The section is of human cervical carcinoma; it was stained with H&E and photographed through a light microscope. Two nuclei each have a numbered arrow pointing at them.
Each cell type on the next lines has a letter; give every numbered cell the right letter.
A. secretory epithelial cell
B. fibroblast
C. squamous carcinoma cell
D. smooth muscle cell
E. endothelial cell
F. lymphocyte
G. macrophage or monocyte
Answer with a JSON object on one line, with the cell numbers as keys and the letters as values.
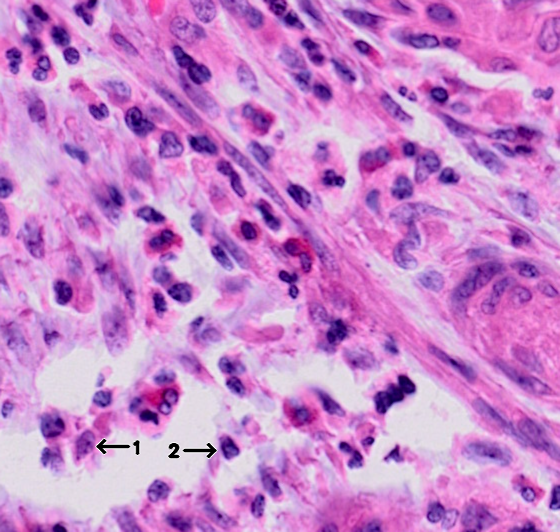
{"1": "G", "2": "F"}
